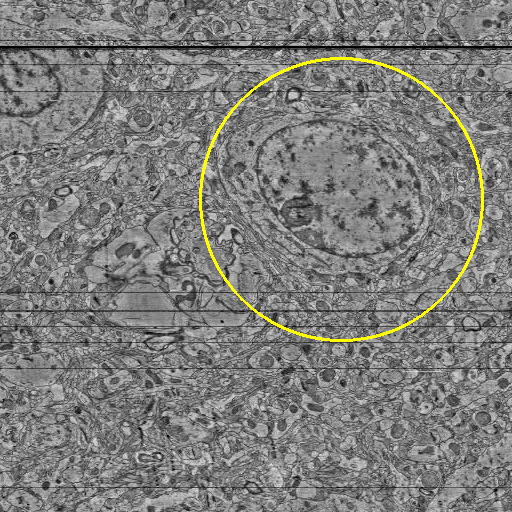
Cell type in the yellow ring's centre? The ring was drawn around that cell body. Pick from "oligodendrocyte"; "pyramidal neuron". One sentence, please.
The ringed cell body is that of a pyramidal neuron.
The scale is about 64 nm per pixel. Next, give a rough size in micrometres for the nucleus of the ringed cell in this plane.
About 11 by 9 micrometres in this plane.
